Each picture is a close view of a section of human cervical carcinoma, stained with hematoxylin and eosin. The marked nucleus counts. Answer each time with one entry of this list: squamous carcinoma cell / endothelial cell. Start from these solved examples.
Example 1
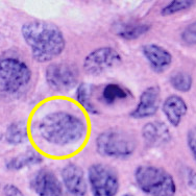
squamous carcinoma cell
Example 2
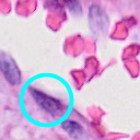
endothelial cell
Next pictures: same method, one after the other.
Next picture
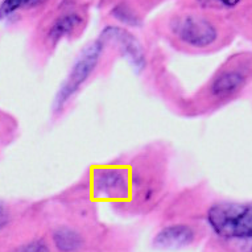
squamous carcinoma cell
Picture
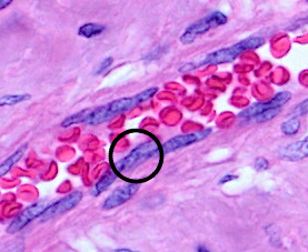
endothelial cell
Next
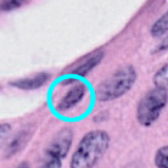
squamous carcinoma cell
